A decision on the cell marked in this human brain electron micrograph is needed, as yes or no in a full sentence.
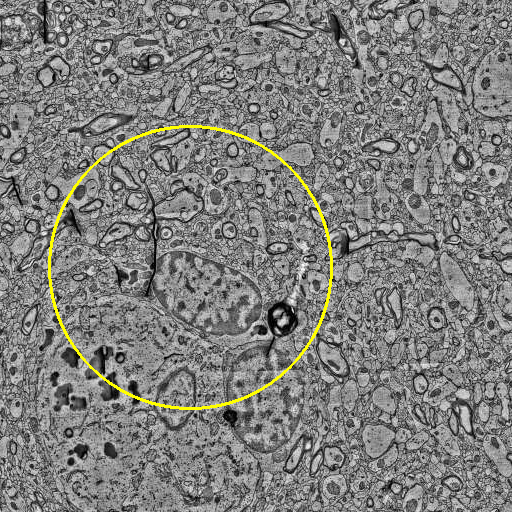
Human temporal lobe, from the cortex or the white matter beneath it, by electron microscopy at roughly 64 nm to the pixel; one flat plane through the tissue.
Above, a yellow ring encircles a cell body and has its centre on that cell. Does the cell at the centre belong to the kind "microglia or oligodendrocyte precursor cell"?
Yes, the kind given fits the cell at the centre of the ring in the picture.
